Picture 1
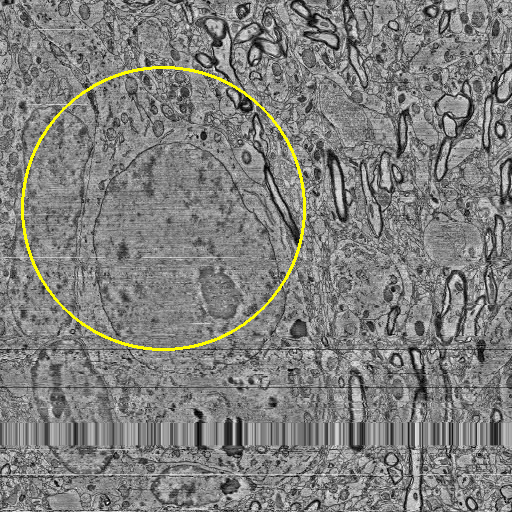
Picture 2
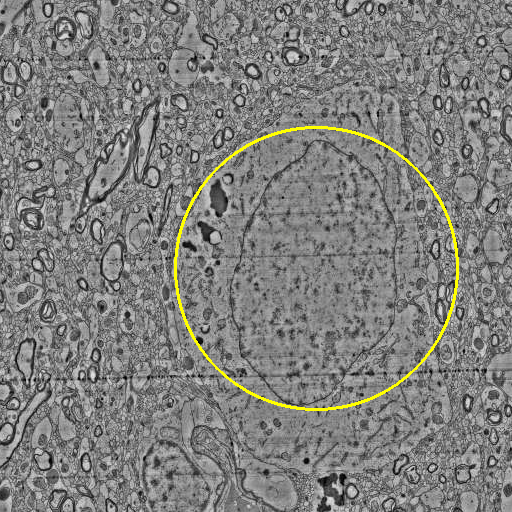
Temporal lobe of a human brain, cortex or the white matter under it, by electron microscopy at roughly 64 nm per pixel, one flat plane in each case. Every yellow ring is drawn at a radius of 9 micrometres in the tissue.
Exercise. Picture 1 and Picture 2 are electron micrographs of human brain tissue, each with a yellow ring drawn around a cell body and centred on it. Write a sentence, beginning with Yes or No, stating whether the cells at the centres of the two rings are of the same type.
Yes, the cells at the centres of both rings are of the same type.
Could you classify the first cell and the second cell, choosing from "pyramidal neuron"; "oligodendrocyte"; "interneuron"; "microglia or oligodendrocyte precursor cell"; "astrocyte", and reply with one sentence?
In each picture the ringed cell is a pyramidal neuron.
